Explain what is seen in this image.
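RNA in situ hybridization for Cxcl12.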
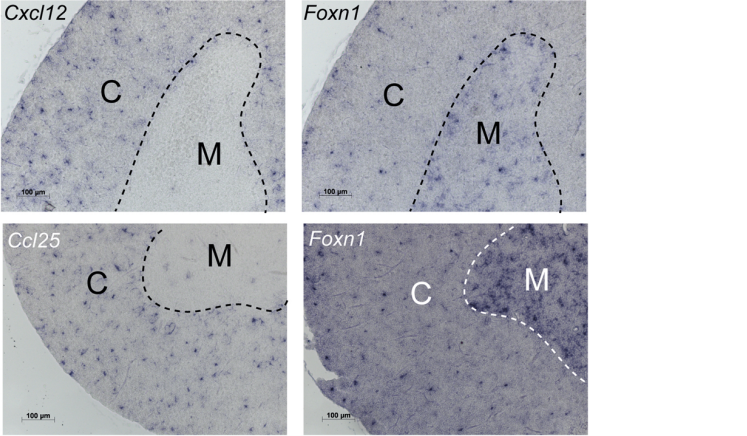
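These are four sections of thymus, each divided by a dashed line into an outer cortex and an inner medulla, with the cut edge of the organ at the left. Single labelled cells appear as scattered dark purple dots on a pale grey-purple background. In two of the sections the dots lie mostly in the cortex, while the medulla is nearly empty of them. In the last section, by contrast, the medulla is densely and darkly labelled and the cortex only sparsely.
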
